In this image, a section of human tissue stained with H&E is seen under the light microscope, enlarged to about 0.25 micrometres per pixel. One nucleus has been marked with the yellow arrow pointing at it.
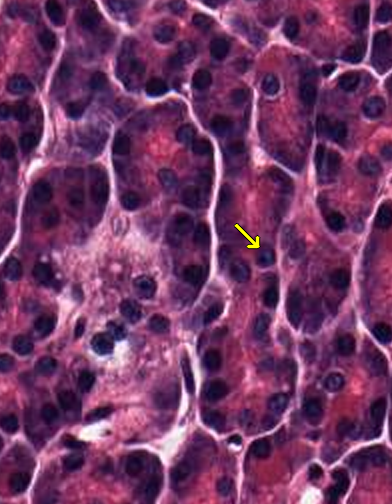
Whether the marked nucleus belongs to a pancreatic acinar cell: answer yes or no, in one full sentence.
Yes, to a pancreatic acinar cell belongs the marked nucleus.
